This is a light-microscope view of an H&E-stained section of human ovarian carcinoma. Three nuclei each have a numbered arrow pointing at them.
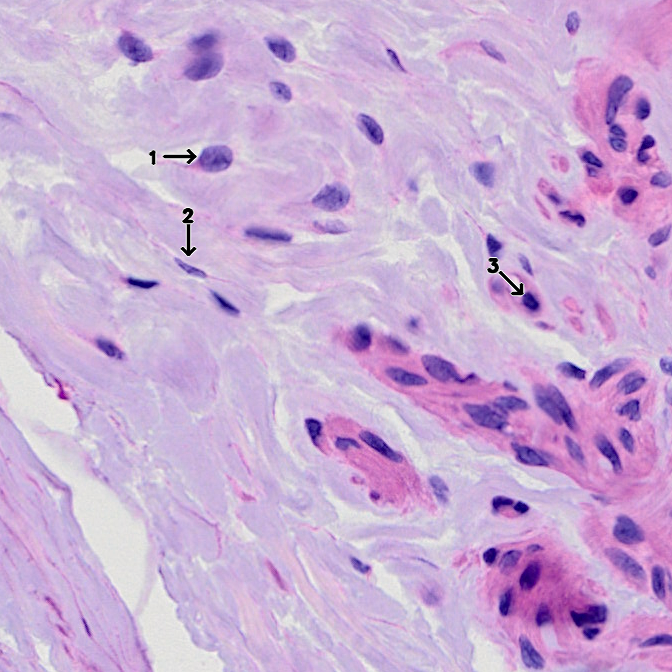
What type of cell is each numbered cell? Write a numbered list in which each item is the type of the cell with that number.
1. fibroblast
2. fibroblast
3. endothelial cell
